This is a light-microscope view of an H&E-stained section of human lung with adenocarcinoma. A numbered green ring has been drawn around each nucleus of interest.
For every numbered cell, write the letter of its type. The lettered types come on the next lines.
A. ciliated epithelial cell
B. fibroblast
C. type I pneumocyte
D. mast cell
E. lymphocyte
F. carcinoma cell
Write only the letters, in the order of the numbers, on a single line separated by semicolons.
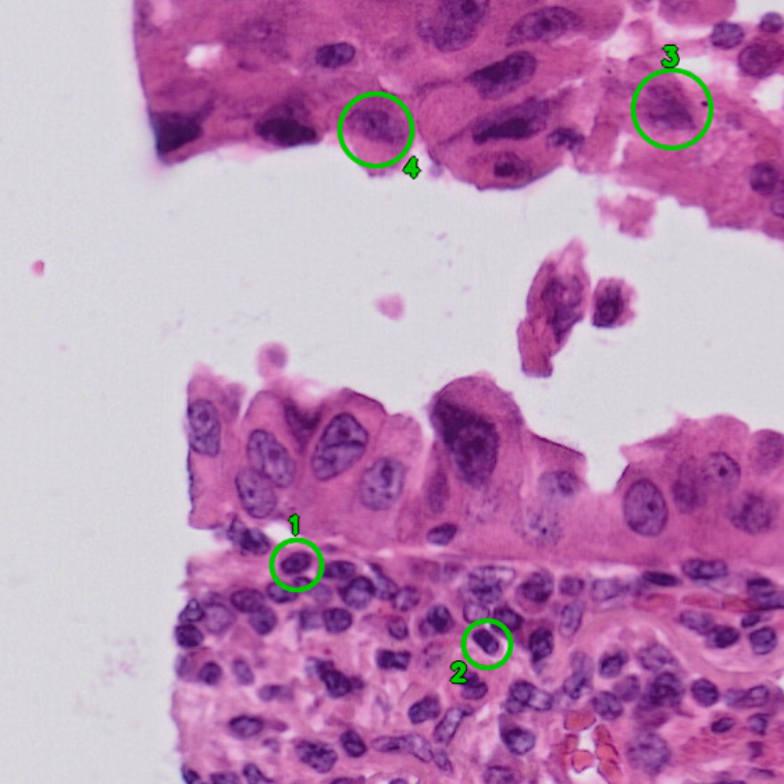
E; E; F; F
